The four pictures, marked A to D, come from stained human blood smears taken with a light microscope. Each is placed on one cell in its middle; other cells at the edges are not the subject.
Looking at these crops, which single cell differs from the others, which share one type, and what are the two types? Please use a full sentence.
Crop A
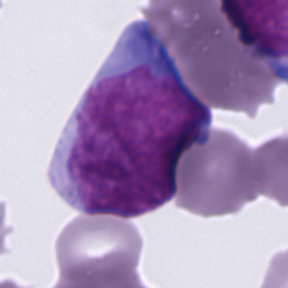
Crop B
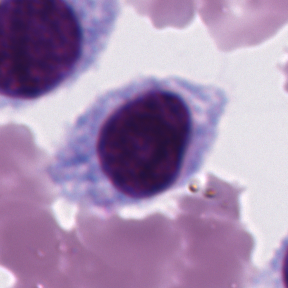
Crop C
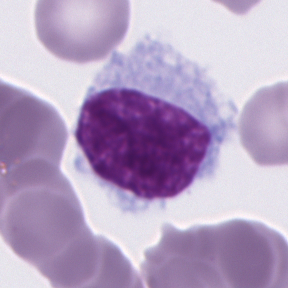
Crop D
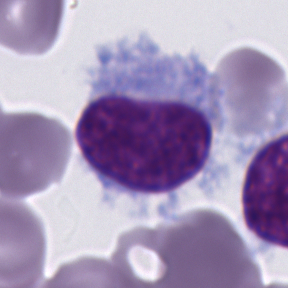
Crop A is the one to flag: it is a myeloblast, and the rest show hairy cells.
